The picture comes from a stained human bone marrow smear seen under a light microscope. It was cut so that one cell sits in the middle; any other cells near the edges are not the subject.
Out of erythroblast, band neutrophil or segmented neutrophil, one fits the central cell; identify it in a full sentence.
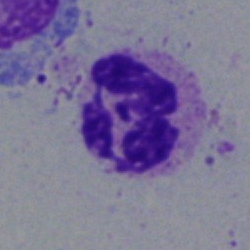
This crop's central cell is a segmented neutrophil.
